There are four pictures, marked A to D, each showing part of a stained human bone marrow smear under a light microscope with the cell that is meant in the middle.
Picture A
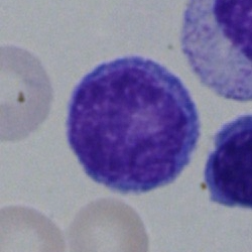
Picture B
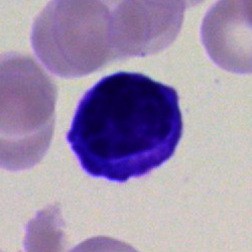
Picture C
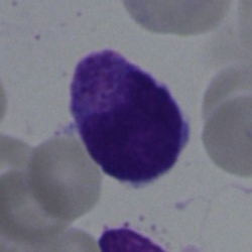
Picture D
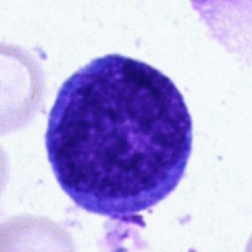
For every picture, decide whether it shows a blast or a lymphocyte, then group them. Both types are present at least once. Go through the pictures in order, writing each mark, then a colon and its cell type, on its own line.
A: blast
B: lymphocyte
C: blast
D: blast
